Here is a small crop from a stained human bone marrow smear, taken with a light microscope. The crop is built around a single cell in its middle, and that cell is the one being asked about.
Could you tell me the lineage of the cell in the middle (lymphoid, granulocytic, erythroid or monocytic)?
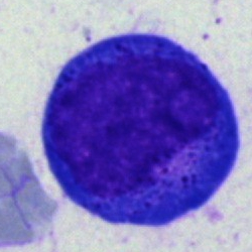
granulocytic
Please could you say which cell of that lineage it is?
promyelocyte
